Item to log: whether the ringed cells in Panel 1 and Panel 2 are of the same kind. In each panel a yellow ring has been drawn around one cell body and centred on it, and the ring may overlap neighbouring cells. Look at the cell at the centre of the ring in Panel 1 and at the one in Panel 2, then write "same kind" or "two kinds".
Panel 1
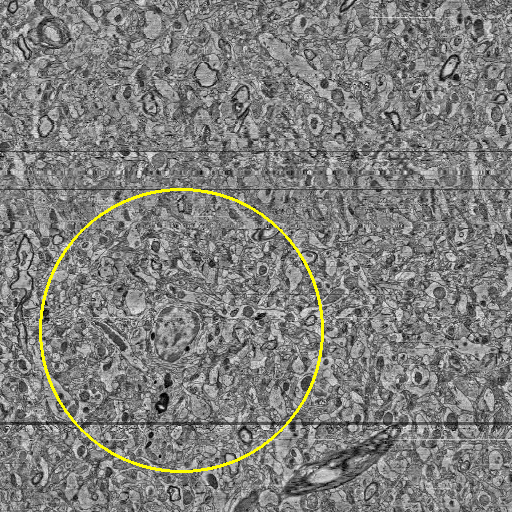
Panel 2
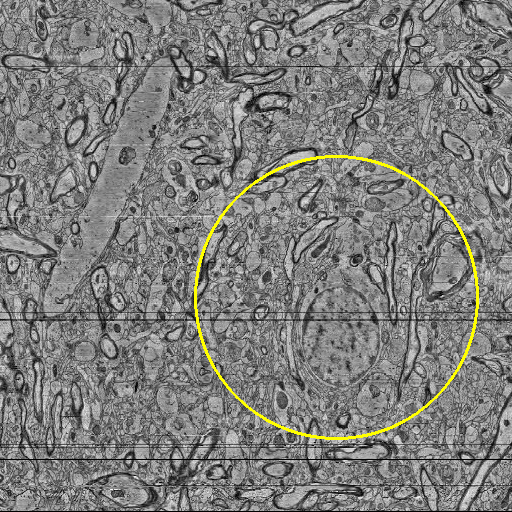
same kind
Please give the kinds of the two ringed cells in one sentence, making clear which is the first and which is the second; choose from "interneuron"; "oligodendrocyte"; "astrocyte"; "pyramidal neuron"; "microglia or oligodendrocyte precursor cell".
In both pictures the ring is centred on a microglial cell or oligodendrocyte precursor cell.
